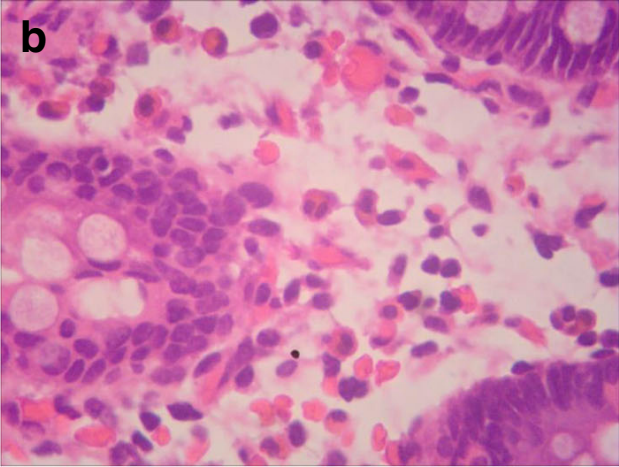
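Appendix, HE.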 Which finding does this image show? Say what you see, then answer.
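Neutrephil and eosinophilia infiltration. The stroma between the glands is crowded with scattered inflammatory cells. Many cells have bright orange-red cytoplasm. Glandular epithelium with goblet cells borders the infiltrate.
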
